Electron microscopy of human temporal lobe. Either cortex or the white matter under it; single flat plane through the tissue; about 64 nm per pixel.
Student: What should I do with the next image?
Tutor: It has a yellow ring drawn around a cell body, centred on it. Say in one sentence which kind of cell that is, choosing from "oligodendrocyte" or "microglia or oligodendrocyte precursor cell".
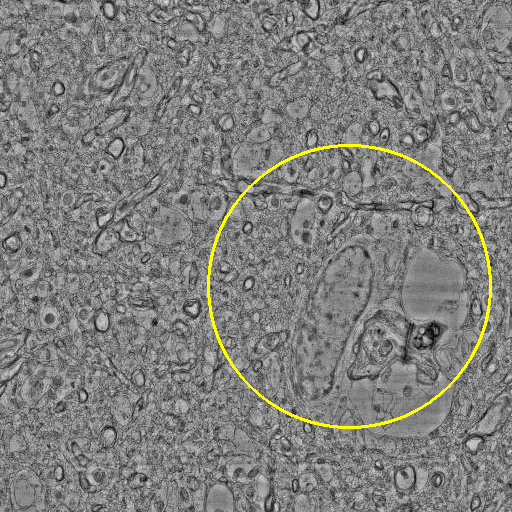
The ring's centre is occupied by a microglial cell or oligodendrocyte precursor cell.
